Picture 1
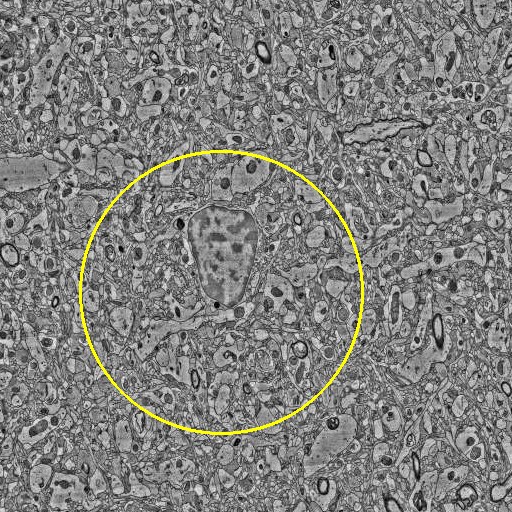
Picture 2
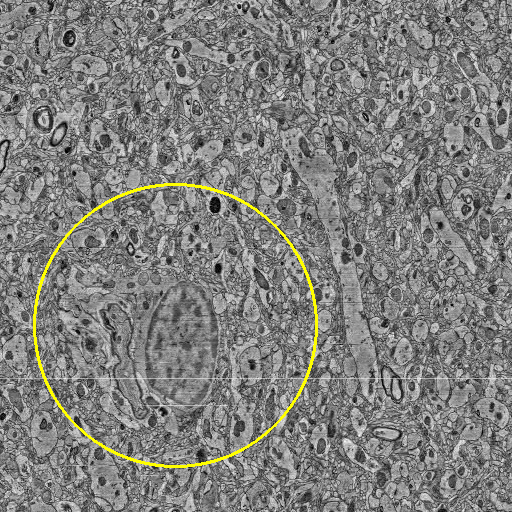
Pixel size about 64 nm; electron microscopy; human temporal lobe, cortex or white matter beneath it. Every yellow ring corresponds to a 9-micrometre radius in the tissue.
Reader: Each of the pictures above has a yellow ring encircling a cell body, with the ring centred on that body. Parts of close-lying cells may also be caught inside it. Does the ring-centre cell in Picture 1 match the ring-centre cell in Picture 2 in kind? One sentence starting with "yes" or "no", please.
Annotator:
No, Picture 1 and Picture 2 show ring-centre cells of two kinds.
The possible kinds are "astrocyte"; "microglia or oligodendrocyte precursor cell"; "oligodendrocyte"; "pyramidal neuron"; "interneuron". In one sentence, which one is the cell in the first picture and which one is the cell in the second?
The cell ringed in the second picture is an oligodendrocyte, whereas the one ringed in the first is a microglial cell or oligodendrocyte precursor cell.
